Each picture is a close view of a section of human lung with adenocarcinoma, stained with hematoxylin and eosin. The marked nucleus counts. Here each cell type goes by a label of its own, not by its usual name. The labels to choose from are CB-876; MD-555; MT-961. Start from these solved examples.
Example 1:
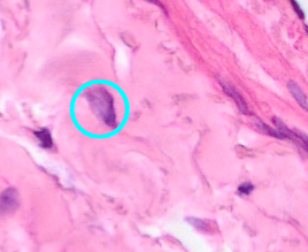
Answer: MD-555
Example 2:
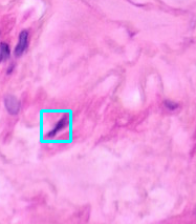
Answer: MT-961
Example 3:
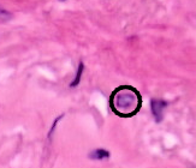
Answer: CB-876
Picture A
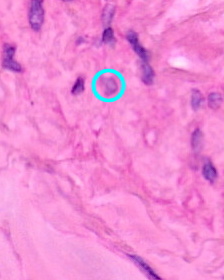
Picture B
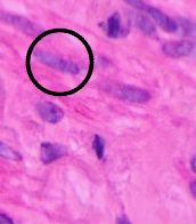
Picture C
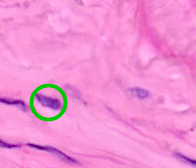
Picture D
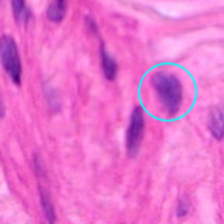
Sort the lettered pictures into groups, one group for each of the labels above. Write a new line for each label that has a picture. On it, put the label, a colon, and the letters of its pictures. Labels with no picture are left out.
MD-555: C
MT-961: A, B, D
